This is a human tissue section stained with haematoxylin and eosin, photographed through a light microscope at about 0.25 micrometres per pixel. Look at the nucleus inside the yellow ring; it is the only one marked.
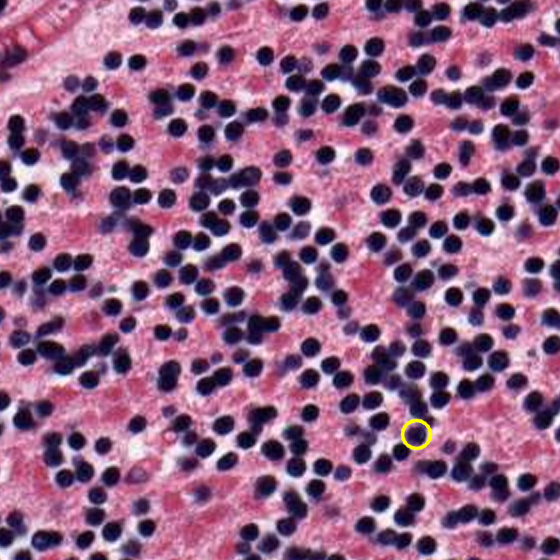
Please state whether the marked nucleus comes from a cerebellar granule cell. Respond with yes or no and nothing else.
yes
